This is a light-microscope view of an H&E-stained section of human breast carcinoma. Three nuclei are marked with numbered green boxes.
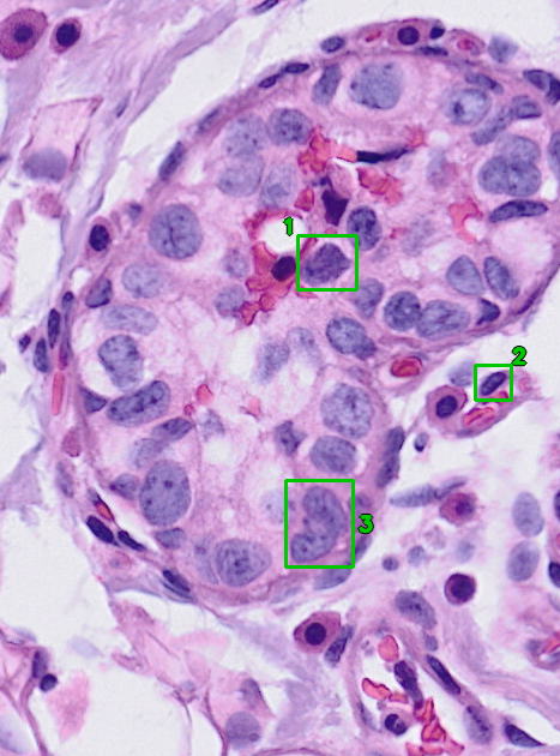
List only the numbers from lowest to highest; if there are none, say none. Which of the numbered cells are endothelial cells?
2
